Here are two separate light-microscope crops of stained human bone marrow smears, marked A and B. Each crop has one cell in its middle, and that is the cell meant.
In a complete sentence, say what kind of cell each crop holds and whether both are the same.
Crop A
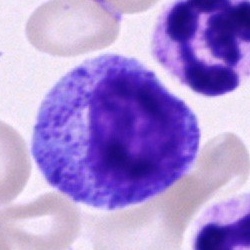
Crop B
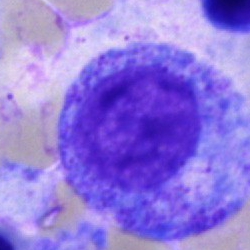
Yes, both crops show promyelocytes, to put it briefly.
